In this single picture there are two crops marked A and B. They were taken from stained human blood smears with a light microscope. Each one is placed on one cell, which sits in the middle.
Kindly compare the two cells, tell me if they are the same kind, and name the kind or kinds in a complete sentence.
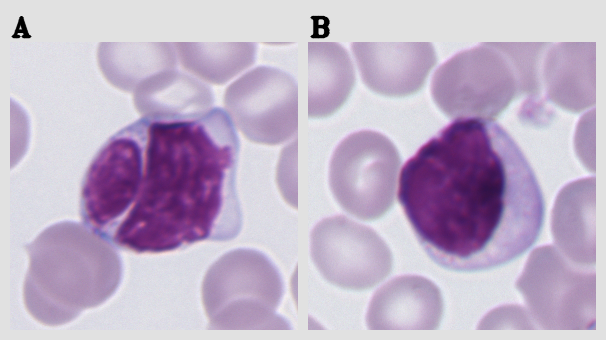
Yes, the cells in both crops are large granular lymphocytes.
